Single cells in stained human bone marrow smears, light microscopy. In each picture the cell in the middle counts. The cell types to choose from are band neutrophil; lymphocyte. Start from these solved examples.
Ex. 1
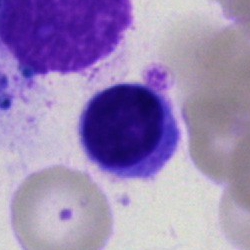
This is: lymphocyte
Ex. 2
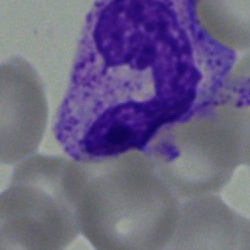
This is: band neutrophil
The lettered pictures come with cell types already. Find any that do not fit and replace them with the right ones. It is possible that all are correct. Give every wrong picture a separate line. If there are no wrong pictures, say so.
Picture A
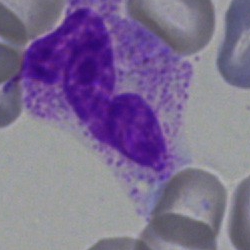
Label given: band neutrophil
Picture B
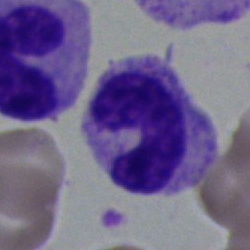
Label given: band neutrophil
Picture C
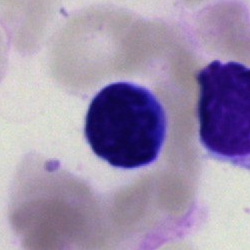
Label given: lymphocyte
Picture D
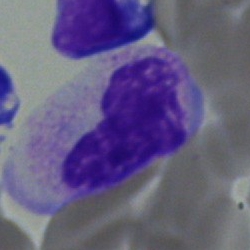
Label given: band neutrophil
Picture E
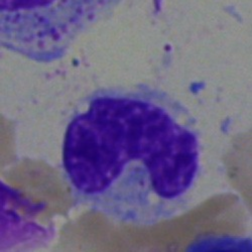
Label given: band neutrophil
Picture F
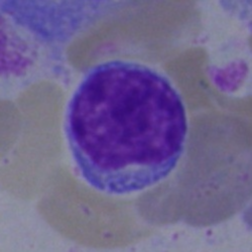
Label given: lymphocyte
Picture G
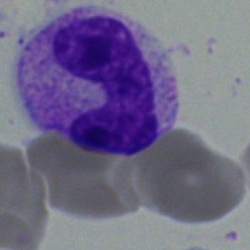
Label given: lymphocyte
G: band neutrophil, not lymphocyte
